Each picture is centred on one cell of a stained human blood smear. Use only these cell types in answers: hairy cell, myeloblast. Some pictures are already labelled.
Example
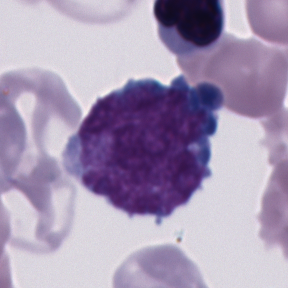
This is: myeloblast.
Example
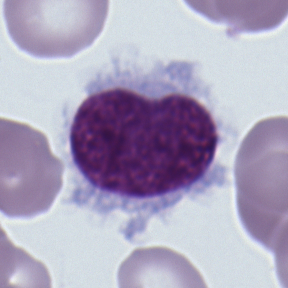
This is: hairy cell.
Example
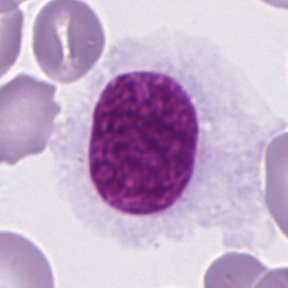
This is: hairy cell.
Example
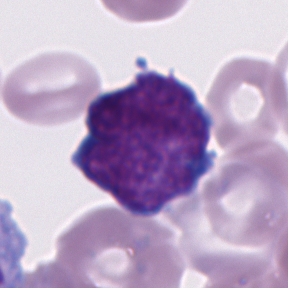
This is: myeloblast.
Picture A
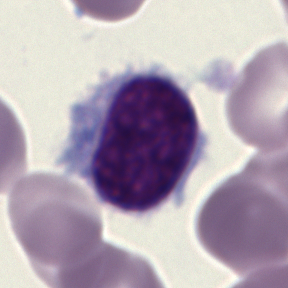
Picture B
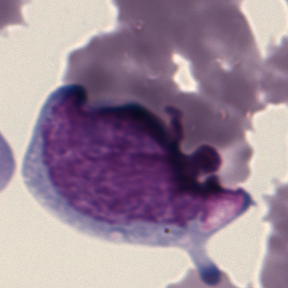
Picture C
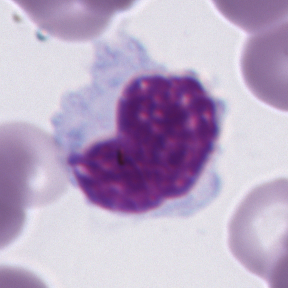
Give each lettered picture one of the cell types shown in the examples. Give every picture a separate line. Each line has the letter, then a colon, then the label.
A: hairy cell.
B: myeloblast.
C: hairy cell.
